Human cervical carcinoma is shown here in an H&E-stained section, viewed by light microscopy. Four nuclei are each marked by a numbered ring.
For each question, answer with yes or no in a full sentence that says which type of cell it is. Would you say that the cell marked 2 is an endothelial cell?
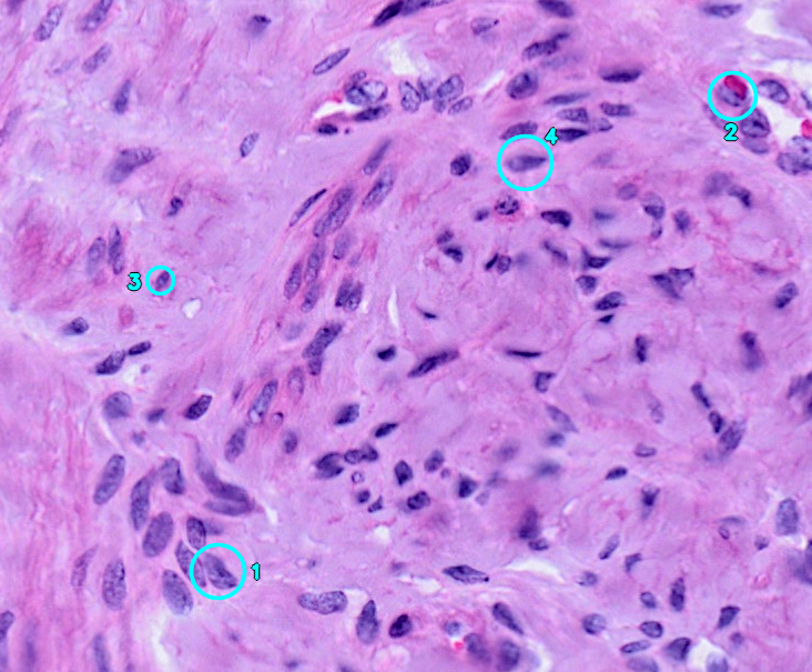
Yes, the nucleus numbered 2 belongs to an endothelial cell.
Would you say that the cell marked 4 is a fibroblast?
Yes, the cell at the mark numbered 4 is a fibroblast.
